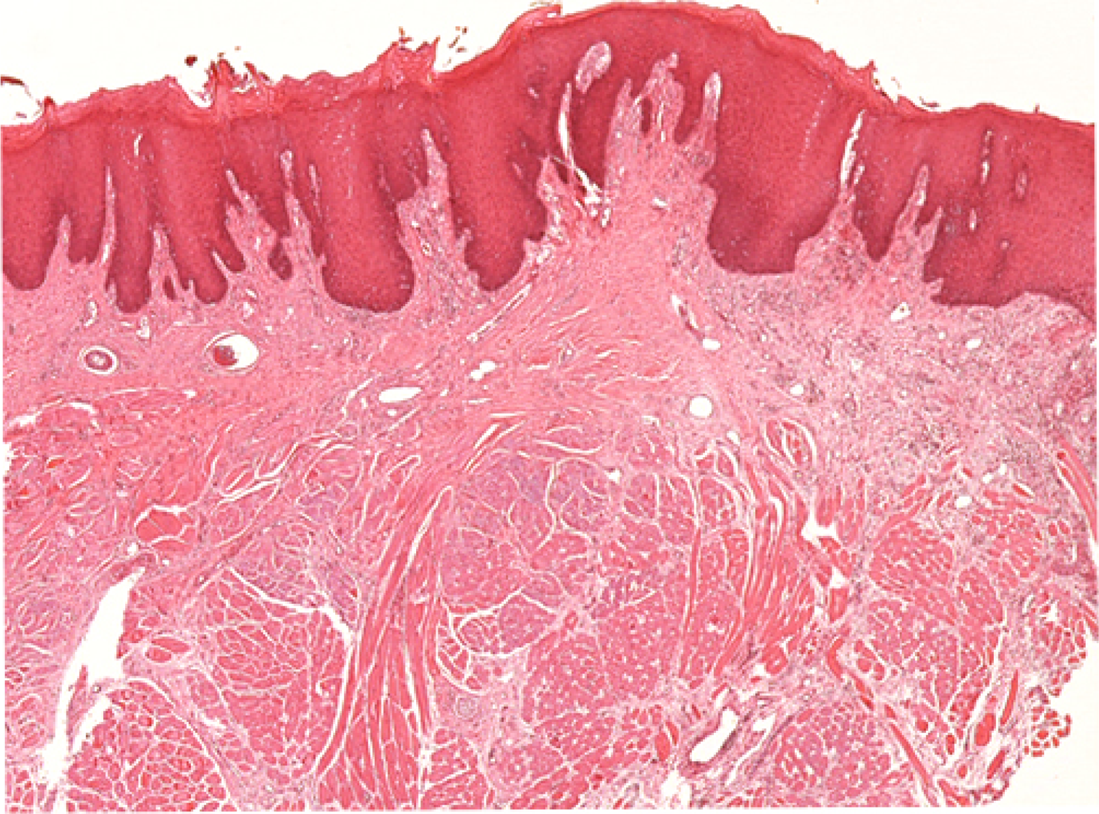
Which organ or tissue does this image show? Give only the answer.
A: Tongue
